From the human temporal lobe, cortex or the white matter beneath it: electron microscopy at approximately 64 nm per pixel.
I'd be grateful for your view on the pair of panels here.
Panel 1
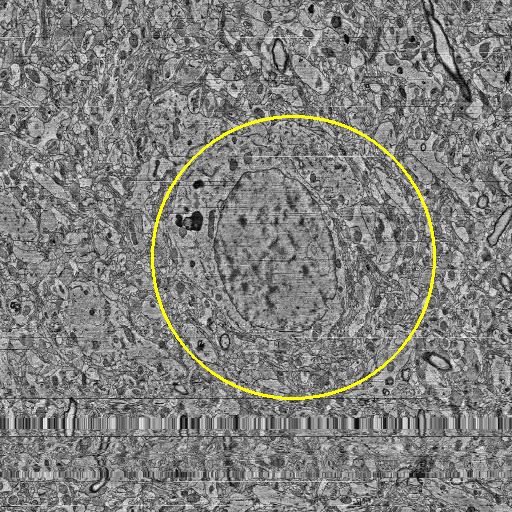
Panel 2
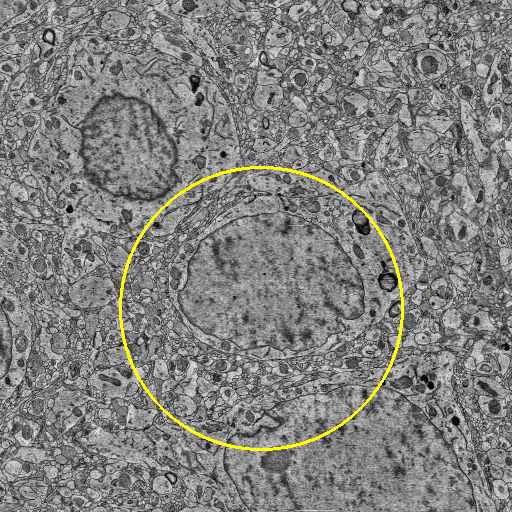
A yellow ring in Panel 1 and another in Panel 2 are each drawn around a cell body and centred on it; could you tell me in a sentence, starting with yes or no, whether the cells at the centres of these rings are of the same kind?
Yes, they are the same kind of cell.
